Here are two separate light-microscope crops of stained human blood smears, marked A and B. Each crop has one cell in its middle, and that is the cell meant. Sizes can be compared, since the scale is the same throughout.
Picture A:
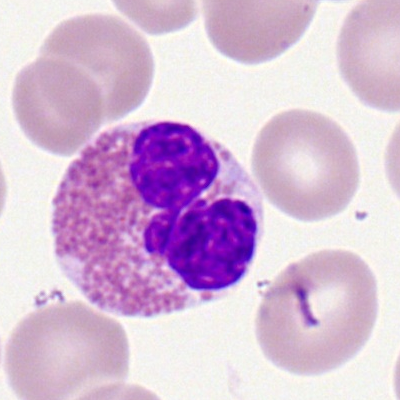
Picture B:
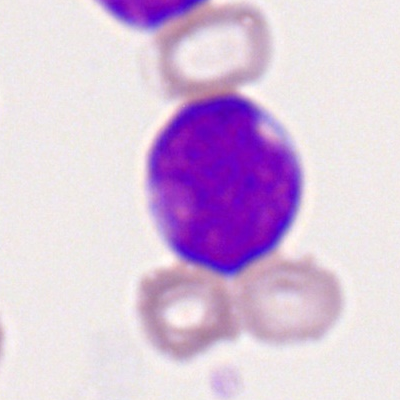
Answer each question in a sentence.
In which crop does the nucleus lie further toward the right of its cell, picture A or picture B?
In picture A the nucleus is shifted more toward the right.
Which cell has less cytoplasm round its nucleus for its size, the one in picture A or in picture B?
It is the cell in picture B that is filled more by its nucleus.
